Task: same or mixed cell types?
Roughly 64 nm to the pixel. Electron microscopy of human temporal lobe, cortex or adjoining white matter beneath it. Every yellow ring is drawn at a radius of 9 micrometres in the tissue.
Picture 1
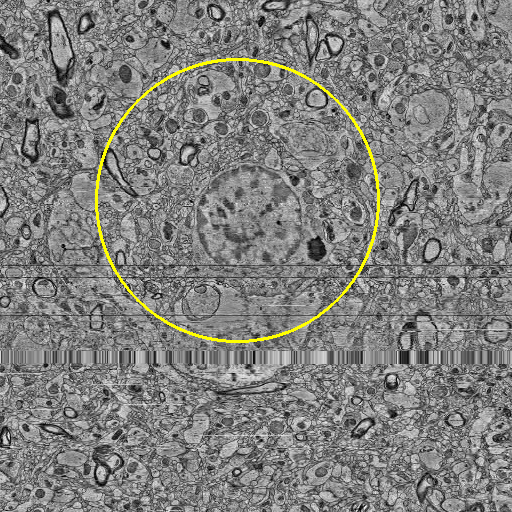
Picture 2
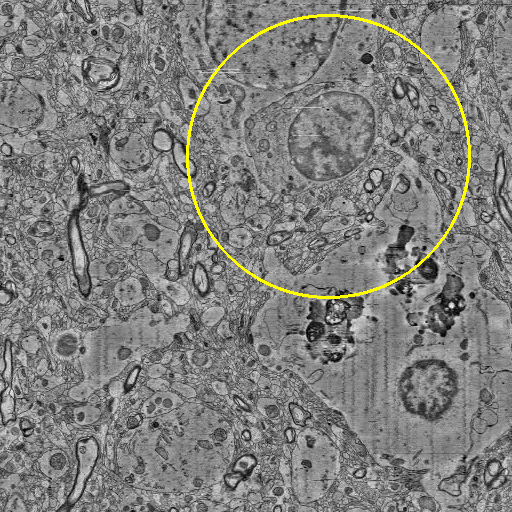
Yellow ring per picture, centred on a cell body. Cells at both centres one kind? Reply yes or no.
yes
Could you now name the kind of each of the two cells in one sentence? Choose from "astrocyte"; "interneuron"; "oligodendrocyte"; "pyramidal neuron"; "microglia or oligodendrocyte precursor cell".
In each picture the ringed cell is an oligodendrocyte.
